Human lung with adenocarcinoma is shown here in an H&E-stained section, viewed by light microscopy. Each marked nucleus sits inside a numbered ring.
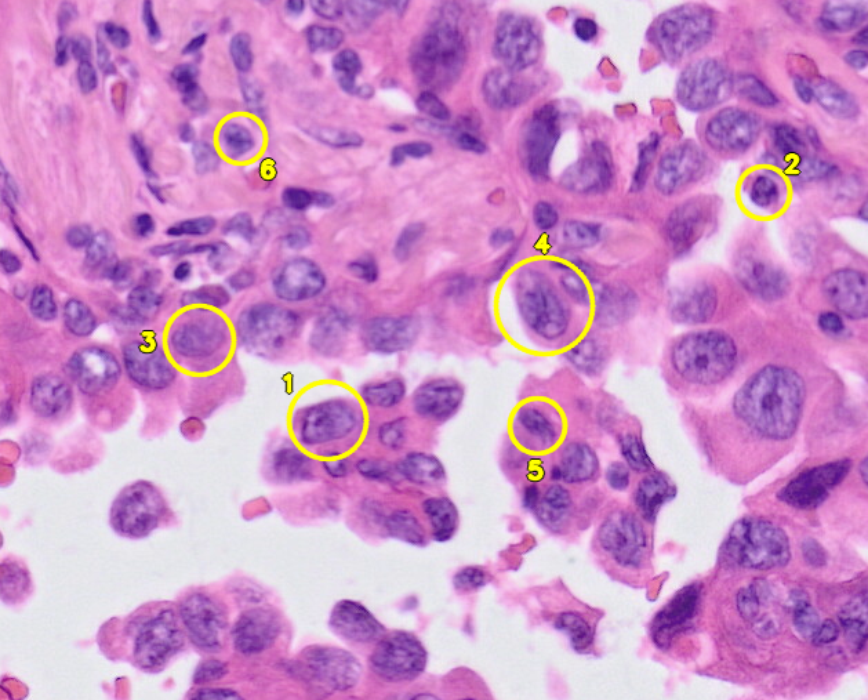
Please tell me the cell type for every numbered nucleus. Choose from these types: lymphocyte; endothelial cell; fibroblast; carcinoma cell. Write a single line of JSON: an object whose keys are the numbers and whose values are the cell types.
{"1": "carcinoma cell", "2": "lymphocyte", "3": "carcinoma cell", "4": "carcinoma cell", "5": "carcinoma cell", "6": "lymphocyte"}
